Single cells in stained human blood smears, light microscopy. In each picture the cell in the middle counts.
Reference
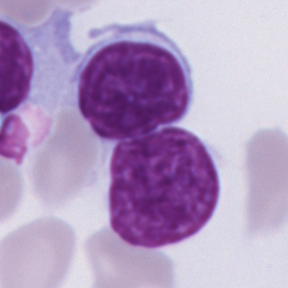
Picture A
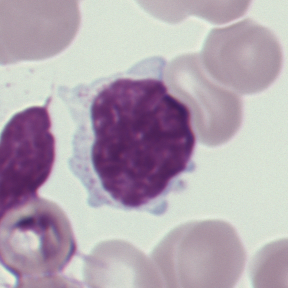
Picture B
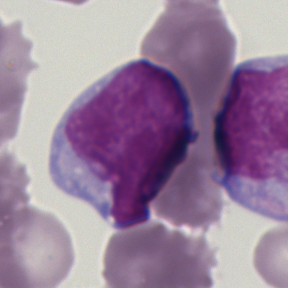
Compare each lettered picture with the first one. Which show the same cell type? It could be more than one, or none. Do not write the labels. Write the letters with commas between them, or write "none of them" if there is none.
B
